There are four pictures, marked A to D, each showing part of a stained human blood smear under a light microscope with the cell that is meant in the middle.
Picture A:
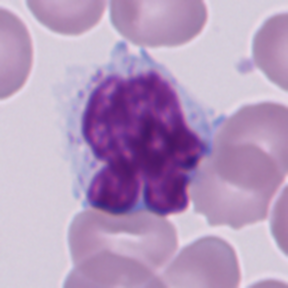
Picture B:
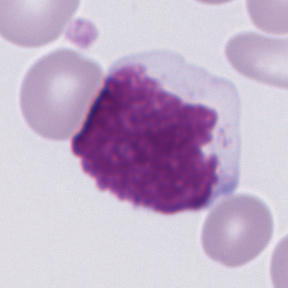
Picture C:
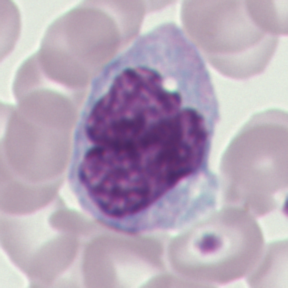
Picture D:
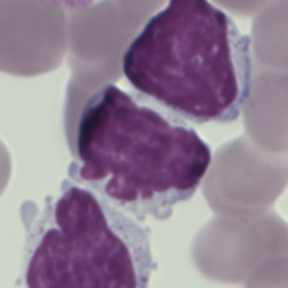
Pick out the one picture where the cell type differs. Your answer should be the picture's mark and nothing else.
C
